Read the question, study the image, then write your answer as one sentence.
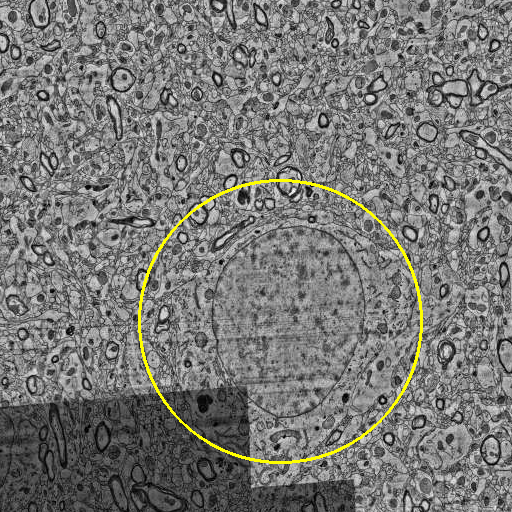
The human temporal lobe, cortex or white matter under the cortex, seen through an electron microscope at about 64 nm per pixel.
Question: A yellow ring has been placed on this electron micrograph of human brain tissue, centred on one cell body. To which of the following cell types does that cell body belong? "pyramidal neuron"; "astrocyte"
That cell body belongs to a pyramidal neuron.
